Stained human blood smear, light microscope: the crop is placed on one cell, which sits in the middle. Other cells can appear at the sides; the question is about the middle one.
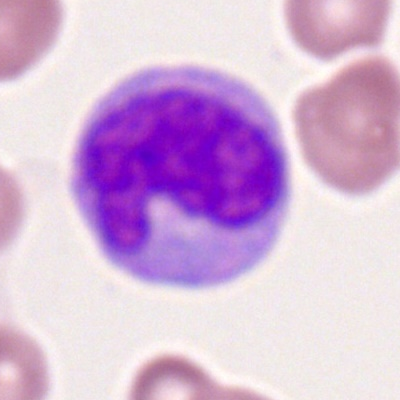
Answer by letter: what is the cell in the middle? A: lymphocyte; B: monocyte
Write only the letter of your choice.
B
